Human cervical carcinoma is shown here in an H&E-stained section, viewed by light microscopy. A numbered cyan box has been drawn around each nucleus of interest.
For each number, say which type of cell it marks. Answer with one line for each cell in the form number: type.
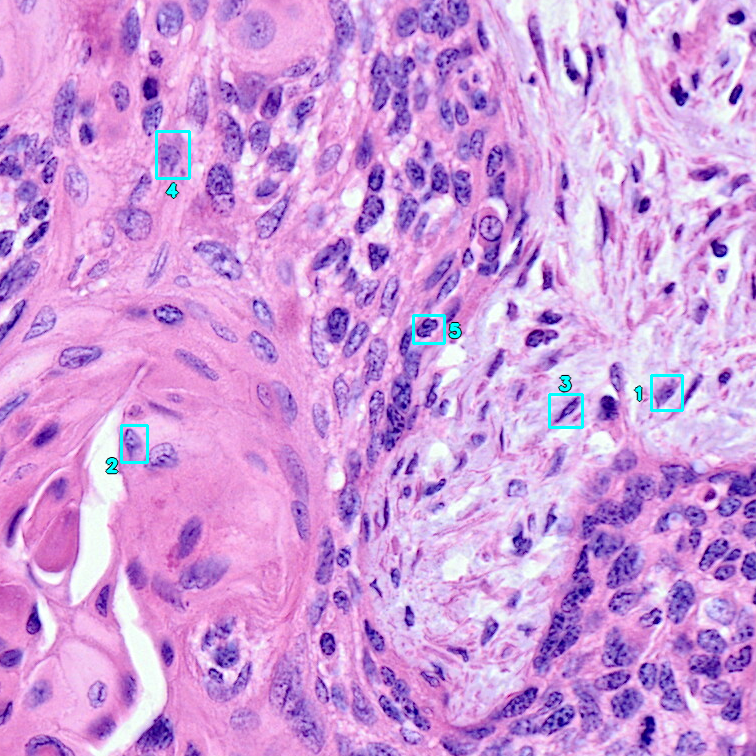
1: fibroblast
2: squamous carcinoma cell
3: fibroblast
4: squamous carcinoma cell
5: lymphocyte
